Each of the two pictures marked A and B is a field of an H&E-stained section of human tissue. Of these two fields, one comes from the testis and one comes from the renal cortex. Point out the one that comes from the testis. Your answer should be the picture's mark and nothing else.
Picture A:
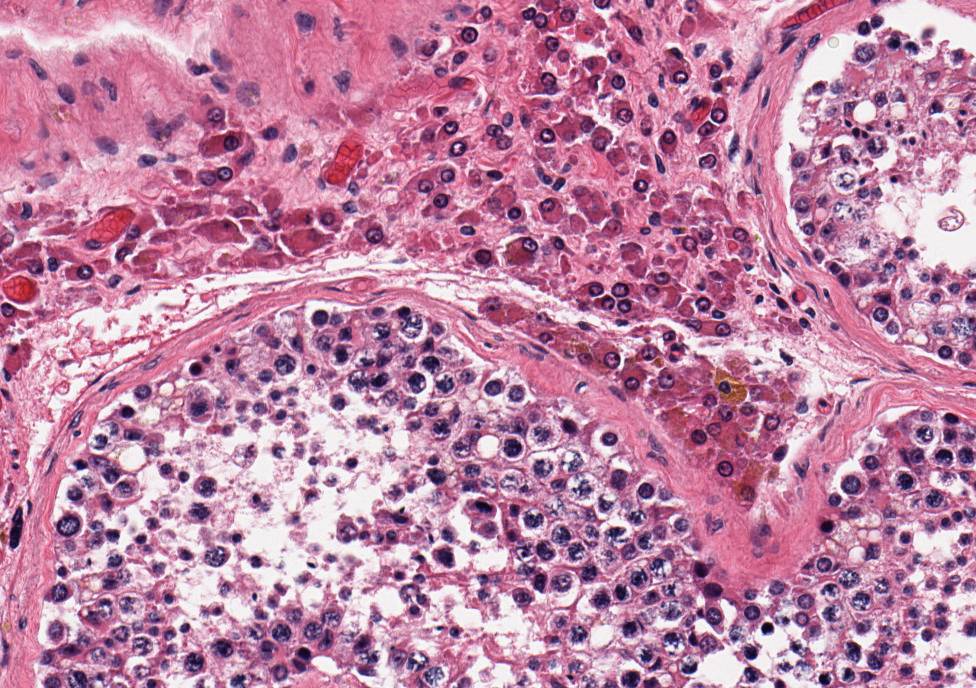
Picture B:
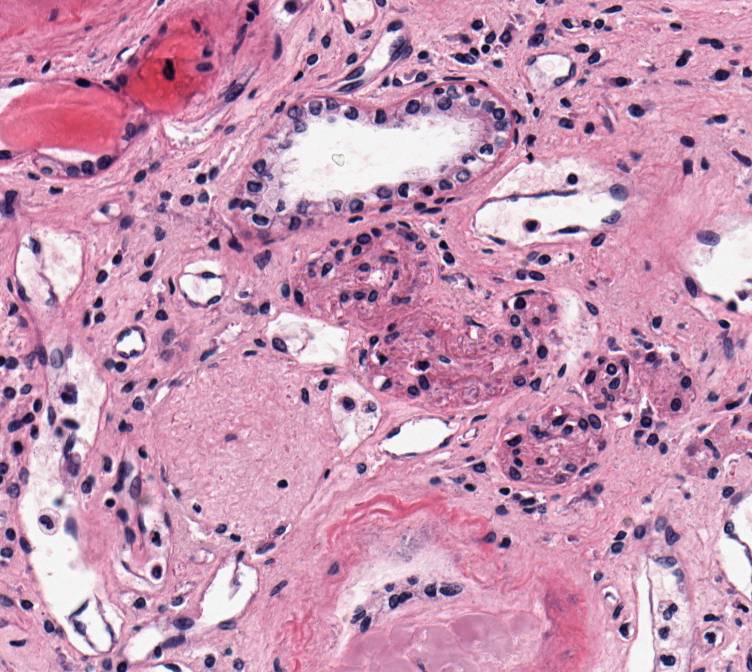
A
